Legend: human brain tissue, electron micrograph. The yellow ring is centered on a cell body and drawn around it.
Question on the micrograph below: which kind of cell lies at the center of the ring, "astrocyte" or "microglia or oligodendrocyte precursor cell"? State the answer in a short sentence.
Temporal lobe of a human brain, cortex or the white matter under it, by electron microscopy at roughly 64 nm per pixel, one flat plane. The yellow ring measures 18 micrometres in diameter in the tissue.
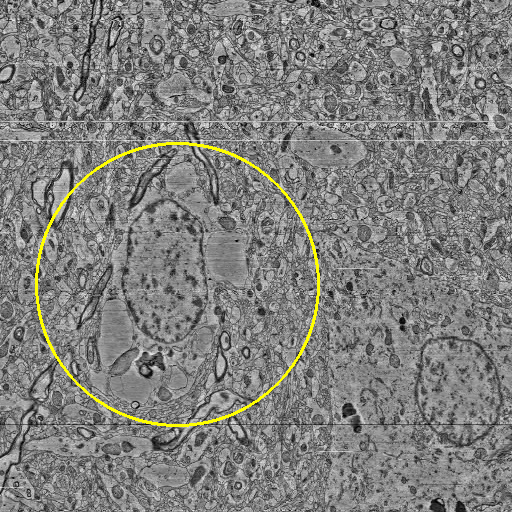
At the center of the ring lies an astrocyte.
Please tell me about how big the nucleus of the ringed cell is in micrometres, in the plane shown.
In this plane, about 10 by 5 micrometres: the nucleus is clearly longer than it is wide.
